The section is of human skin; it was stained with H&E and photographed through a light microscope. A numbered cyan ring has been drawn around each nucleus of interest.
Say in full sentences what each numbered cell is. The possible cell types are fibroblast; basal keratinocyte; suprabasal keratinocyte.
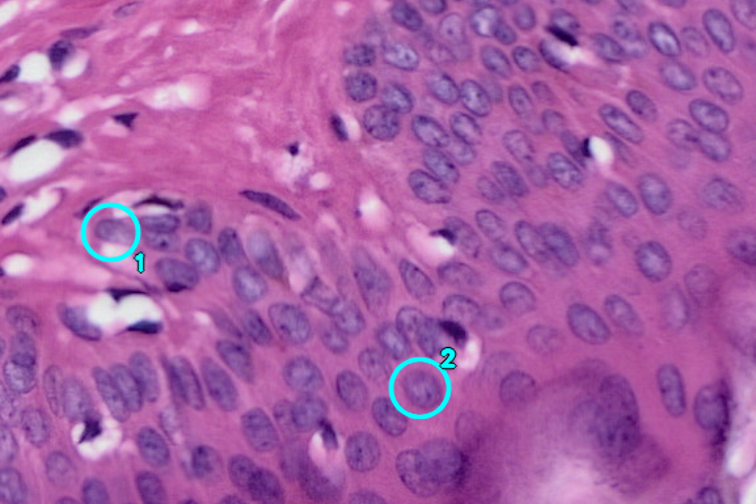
Cell 1 is a basal keratinocyte. Cell 2 is a suprabasal keratinocyte.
